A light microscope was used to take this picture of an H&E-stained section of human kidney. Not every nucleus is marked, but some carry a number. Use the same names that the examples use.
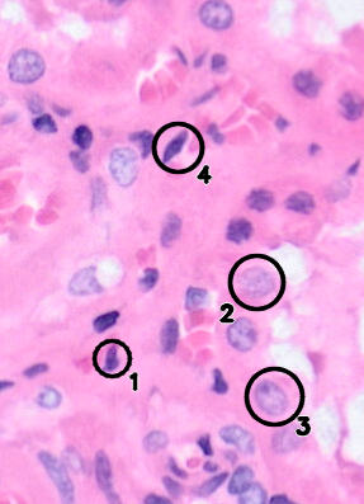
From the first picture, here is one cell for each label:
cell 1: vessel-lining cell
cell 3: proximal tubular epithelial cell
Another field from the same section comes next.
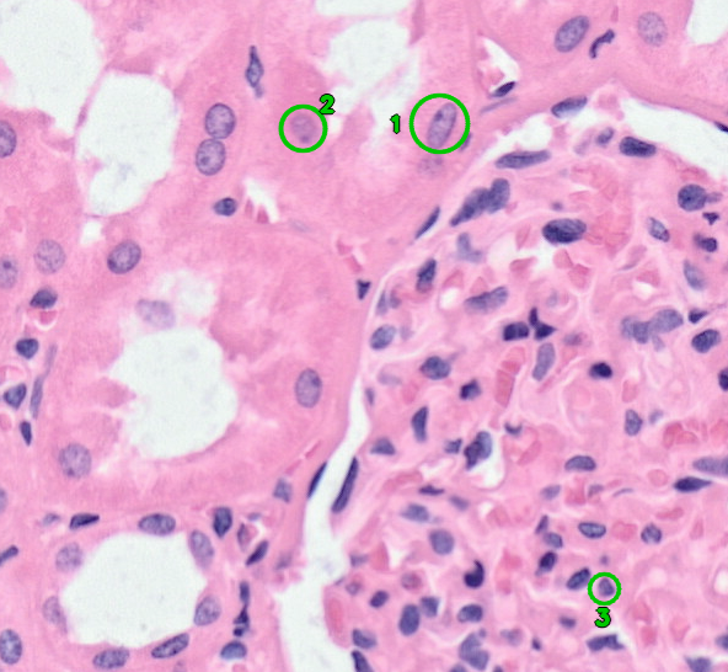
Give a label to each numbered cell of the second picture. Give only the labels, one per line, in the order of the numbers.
proximal tubular epithelial cell
proximal tubular epithelial cell
vessel-lining cell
